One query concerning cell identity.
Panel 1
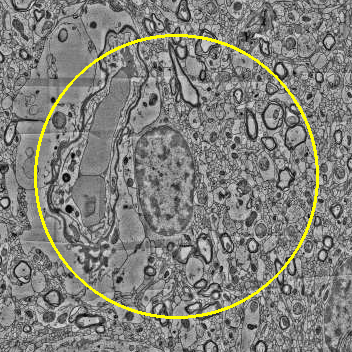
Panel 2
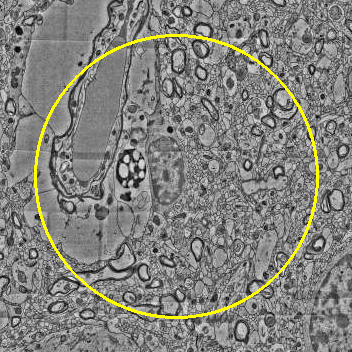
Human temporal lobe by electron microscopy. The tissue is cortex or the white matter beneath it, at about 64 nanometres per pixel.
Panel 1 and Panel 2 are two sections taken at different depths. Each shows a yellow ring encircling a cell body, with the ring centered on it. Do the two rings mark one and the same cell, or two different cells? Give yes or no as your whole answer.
yes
